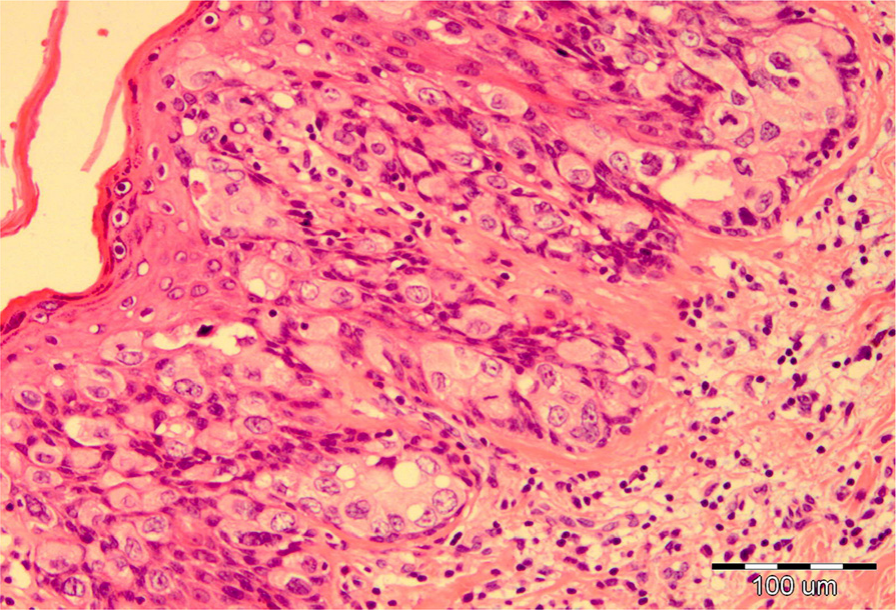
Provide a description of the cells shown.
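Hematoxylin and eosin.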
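This section of skin shows an epidermis infiltrated by many large atypical Paget cells, lying singly and in nests among the keratinocytes. The Paget cells are much larger than the neighbouring keratinocytes and have abundant pale, clear to faintly purple-pink cytoplasm. Their nuclei are large, oval and irregular, with open chromatin and visible nucleoli, whereas the compressed keratinocytes between the nests have small, dark, elongated nuclei. In places the Paget cells form small gland-like clusters arranged around clear spaces. A thin pink keratin layer covers the surface at the upper left. The dermis at the lower right is loose and pale and contains many small dark inflammatory cells.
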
